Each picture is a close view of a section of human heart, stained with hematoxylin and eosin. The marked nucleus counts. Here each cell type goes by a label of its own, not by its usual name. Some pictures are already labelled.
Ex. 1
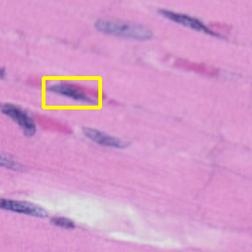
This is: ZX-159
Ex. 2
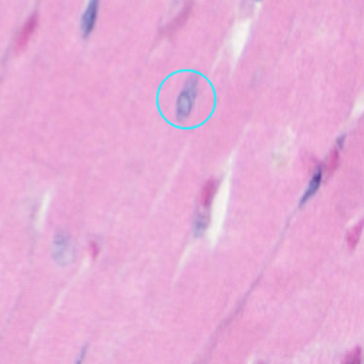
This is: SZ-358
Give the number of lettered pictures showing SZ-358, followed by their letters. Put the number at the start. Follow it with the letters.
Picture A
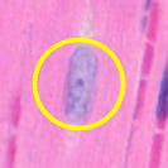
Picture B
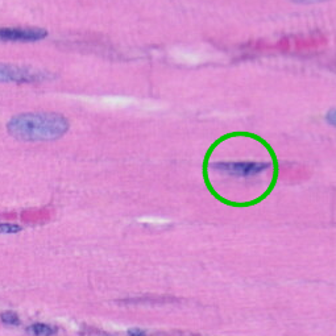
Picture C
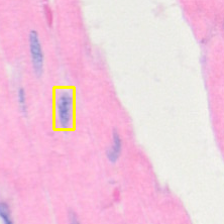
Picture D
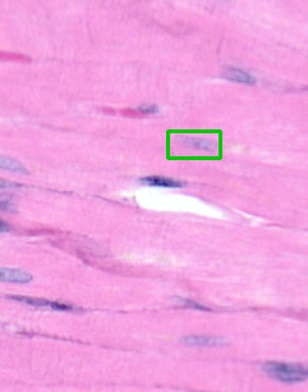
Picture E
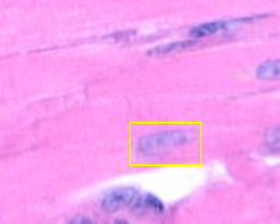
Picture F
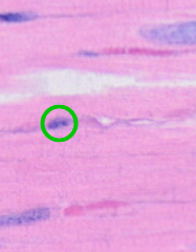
3, namely A, D, E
